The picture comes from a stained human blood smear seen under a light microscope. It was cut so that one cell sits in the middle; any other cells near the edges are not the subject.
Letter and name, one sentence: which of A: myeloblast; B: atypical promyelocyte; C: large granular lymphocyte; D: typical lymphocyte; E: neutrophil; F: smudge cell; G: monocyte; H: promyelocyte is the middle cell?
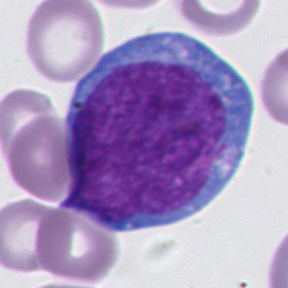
The correct option is H, as the central cell is a promyelocyte.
